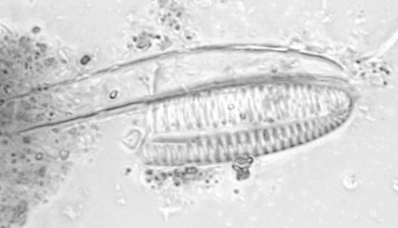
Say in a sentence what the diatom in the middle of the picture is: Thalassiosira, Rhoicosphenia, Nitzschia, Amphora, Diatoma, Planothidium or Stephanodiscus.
This is Rhoicosphenia.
